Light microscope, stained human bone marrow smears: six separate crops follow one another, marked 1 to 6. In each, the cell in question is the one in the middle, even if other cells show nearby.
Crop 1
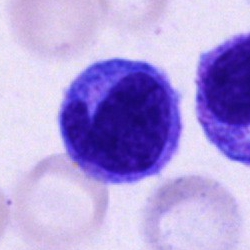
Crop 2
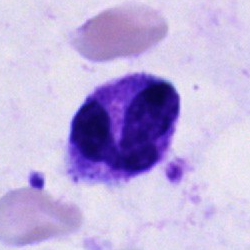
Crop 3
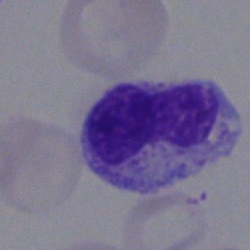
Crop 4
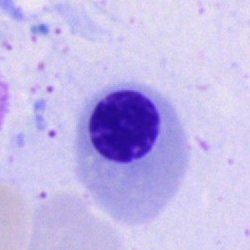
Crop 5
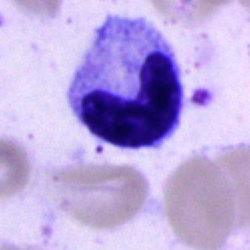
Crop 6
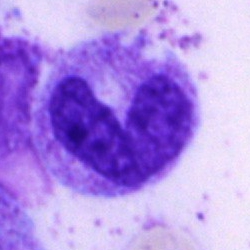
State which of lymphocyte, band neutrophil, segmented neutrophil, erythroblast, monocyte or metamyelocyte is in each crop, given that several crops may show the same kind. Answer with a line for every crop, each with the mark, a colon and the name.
1: monocyte
2: segmented neutrophil
3: metamyelocyte
4: erythroblast
5: band neutrophil
6: band neutrophil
